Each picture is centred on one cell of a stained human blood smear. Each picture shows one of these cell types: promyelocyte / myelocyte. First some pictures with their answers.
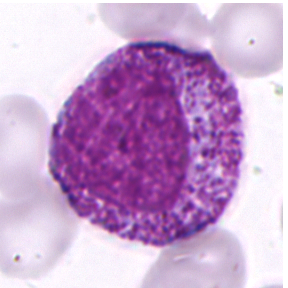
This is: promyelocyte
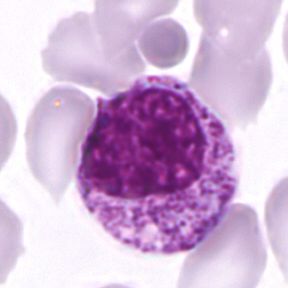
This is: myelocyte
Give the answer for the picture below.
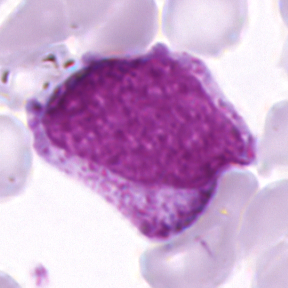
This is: promyelocyte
